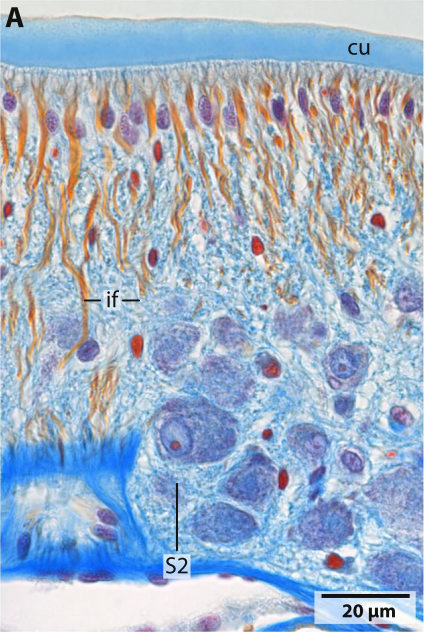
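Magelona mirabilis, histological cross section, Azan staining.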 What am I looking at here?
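In the lower part lies a group of large neurons with ample violet cytoplasm and round nuclei, some with a distinct nucleolus. Small oval red-staining nuclei are scattered among them and in the fibrous region above. An intensely blue band with fibrous tissue borders the lower left.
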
